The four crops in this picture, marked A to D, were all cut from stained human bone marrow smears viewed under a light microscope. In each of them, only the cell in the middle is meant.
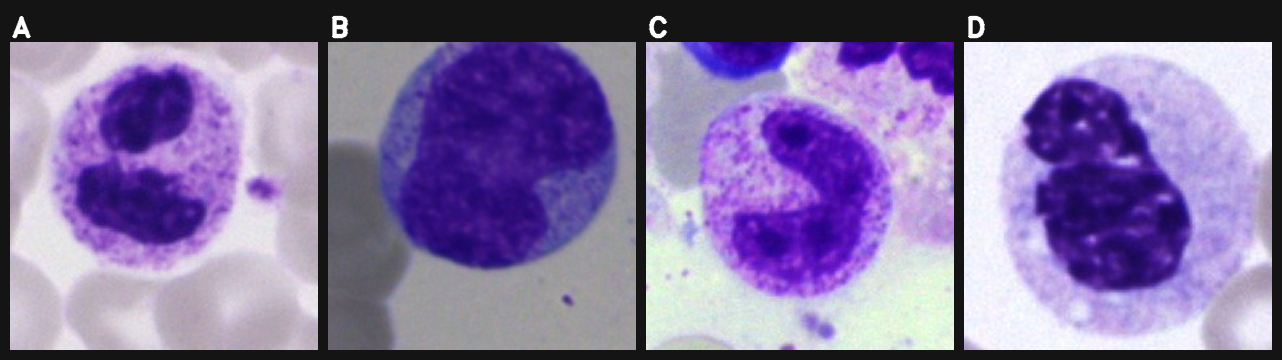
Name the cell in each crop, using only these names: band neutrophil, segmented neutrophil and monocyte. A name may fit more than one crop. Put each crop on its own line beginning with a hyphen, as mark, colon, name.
- A: segmented neutrophil
- B: monocyte
- C: band neutrophil
- D: segmented neutrophil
